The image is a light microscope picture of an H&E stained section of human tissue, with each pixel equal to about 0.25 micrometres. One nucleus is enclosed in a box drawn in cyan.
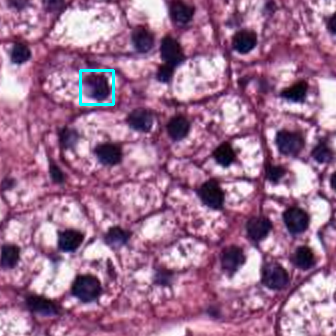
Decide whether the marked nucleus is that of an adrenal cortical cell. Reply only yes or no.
yes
